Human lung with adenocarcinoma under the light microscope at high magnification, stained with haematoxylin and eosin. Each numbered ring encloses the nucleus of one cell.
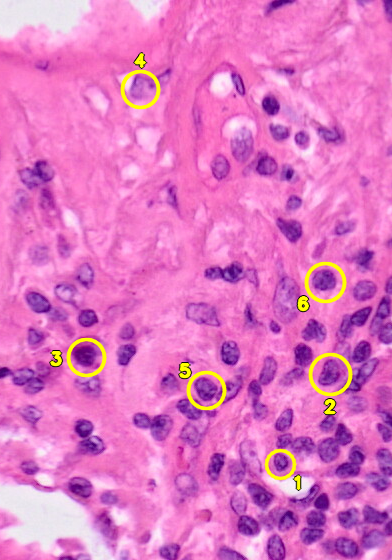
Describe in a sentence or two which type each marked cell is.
Cells 1, 2, 5 and 6 are lymphocytes. Cell 3 is a plasma cell. Cell 4 is a fibroblast.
